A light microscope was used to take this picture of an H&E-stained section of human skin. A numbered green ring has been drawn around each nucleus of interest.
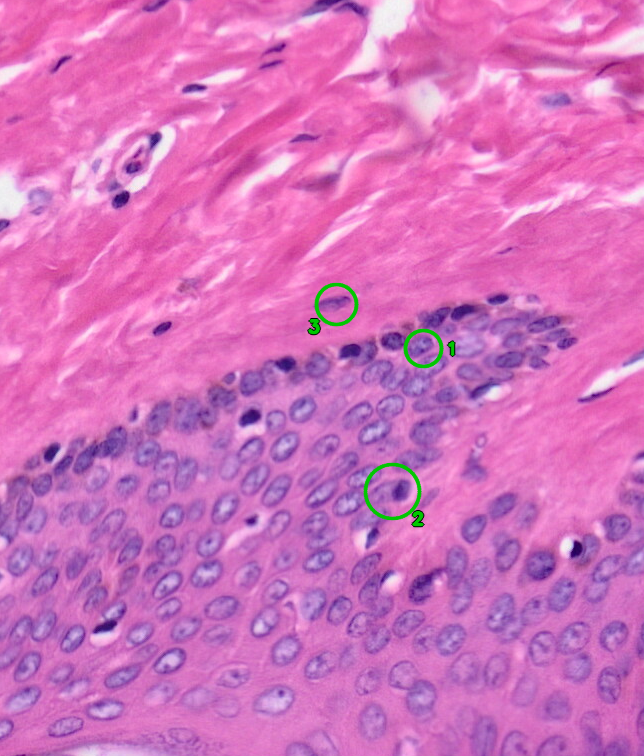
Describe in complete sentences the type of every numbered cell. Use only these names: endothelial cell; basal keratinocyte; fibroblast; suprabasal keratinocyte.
Cells 1 and 2 are basal keratinocytes. Cell 3 is a fibroblast.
